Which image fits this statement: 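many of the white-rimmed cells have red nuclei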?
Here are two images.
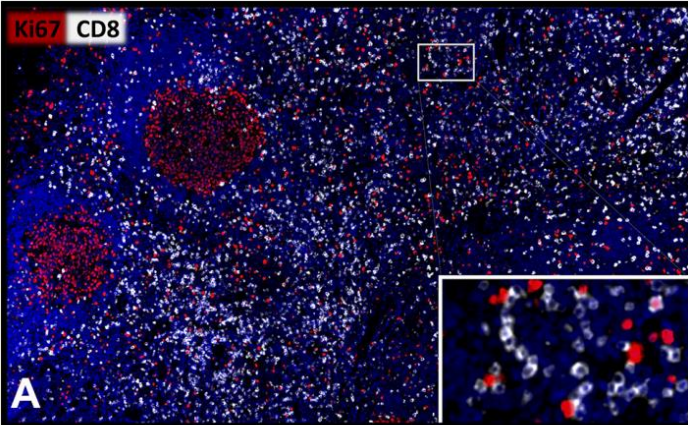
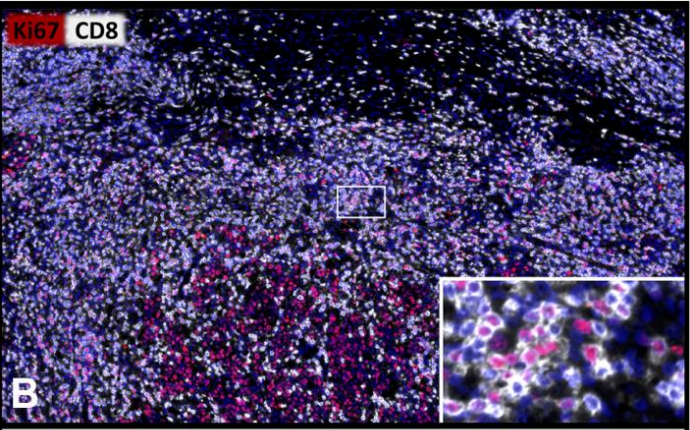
The second image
